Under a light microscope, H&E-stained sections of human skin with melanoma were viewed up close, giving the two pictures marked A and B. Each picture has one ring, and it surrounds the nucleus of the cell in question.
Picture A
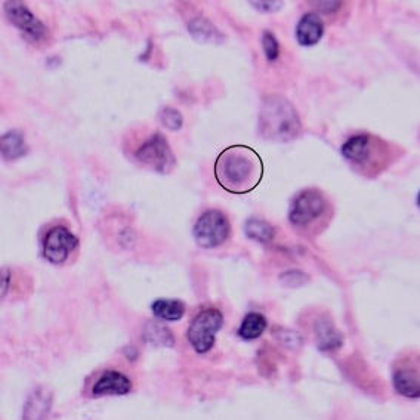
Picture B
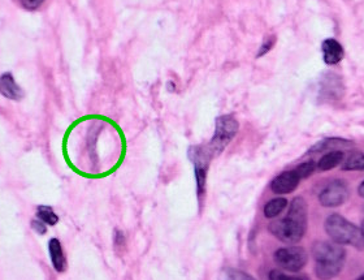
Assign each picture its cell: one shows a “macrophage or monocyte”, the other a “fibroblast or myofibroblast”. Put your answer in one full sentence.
Picture A is of a “macrophage or monocyte”, and picture B is of a “fibroblast or myofibroblast”.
